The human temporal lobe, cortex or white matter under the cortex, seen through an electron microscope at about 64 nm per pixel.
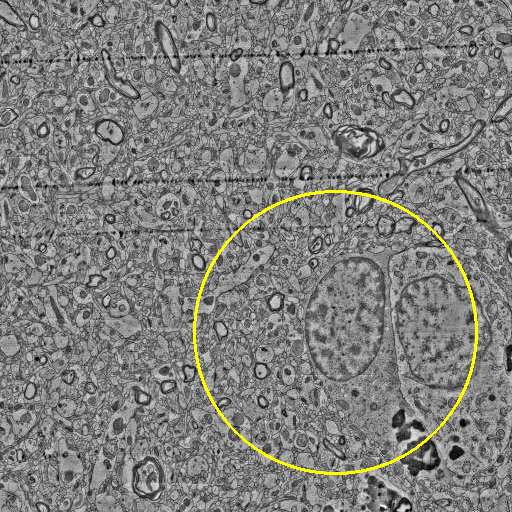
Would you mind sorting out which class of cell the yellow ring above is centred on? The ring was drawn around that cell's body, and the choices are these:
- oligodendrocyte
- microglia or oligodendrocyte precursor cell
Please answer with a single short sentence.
This is the cell body of an oligodendrocyte.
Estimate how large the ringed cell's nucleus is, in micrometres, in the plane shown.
About 8 by 5 micrometres in this plane; clearly longer than it is wide.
